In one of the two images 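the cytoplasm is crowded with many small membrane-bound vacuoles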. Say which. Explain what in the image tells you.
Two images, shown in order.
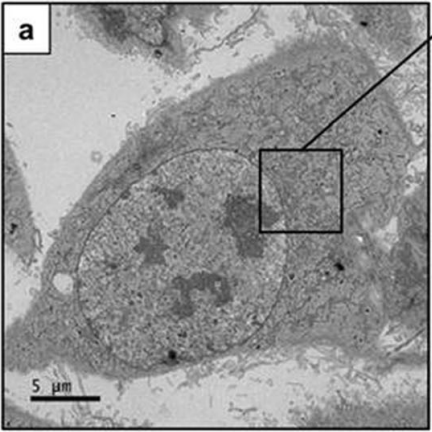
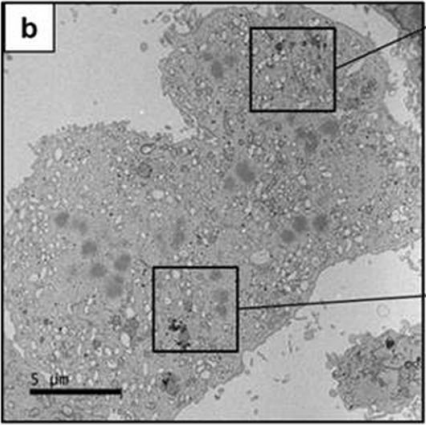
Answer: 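Second image: the cytoplasm throughout the cell is filled with numerous small pale round vacuoles. First image: the cytoplasm is fairly uniform with only a few vacuoles, around a large intact oval nucleus. The answer: the second image.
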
